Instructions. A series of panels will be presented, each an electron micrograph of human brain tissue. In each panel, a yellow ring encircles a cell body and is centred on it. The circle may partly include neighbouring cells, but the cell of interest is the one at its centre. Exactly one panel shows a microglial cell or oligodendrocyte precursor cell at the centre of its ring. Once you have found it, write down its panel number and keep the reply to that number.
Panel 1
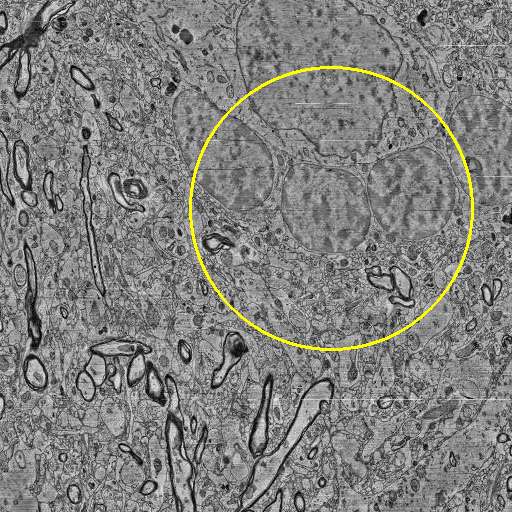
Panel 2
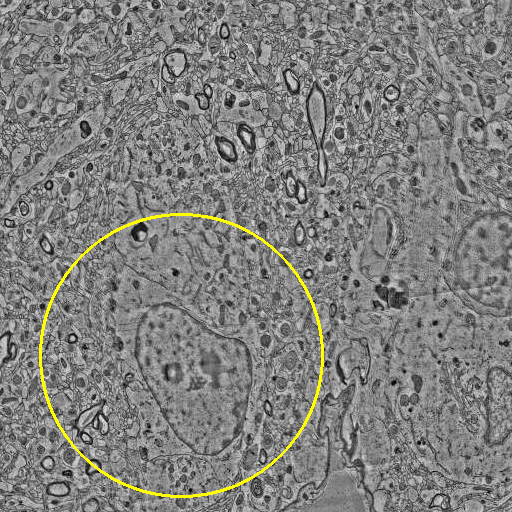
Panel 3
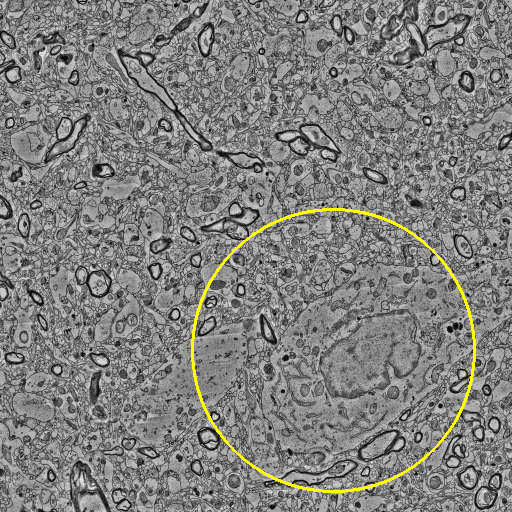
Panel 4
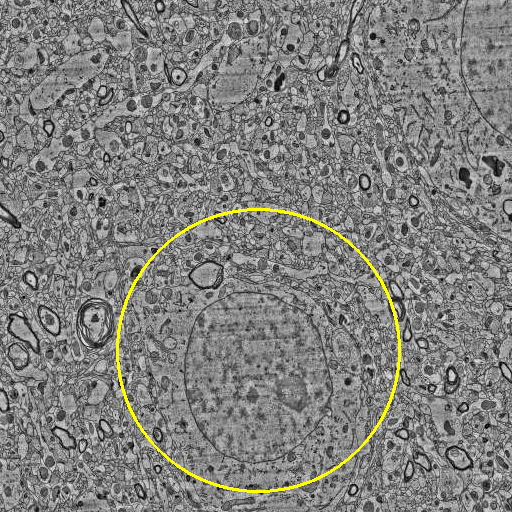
2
